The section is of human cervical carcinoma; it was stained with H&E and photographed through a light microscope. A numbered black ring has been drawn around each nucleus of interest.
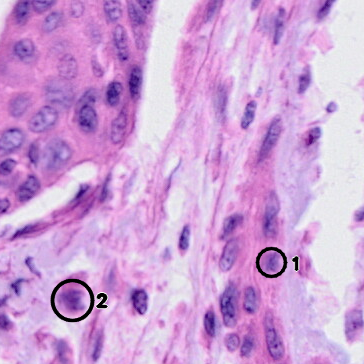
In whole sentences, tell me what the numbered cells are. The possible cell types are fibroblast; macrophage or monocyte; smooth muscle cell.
Cell 1 is a smooth muscle cell and cell 2 is a macrophage or monocyte.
